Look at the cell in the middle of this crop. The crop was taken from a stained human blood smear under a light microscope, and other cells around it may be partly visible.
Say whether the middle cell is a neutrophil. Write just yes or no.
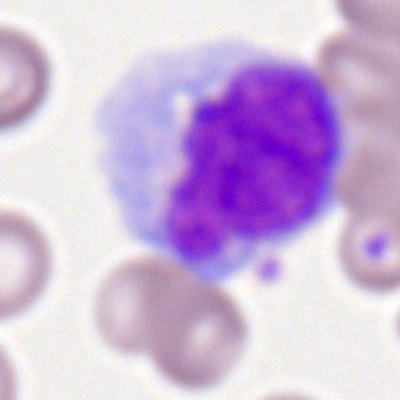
no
